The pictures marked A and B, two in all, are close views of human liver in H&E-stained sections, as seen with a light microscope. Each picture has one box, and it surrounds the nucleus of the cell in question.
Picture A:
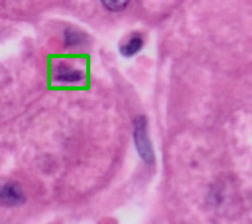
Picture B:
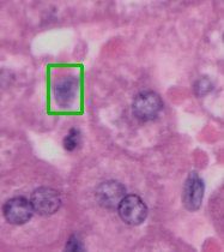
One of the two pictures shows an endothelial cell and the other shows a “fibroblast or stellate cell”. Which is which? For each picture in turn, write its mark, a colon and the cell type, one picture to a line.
A: fibroblast or stellate cell
B: endothelial cell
